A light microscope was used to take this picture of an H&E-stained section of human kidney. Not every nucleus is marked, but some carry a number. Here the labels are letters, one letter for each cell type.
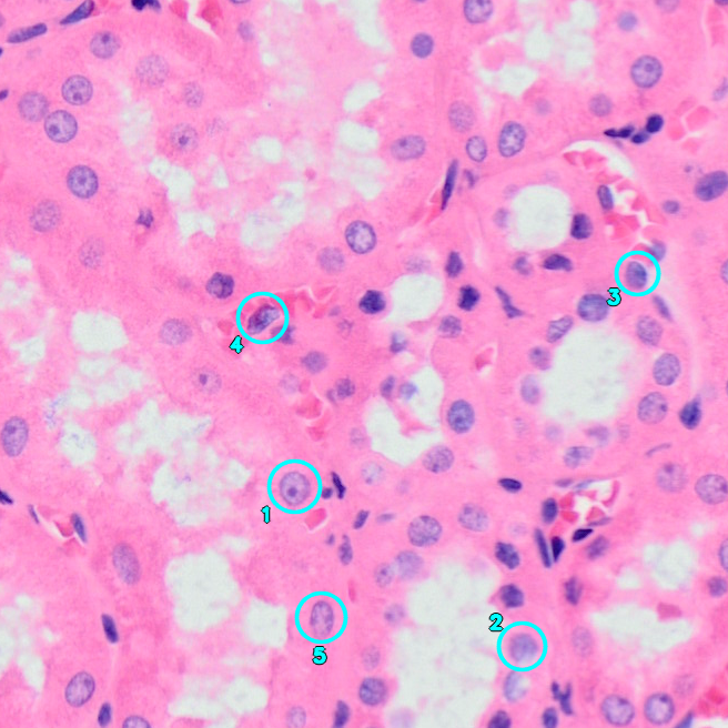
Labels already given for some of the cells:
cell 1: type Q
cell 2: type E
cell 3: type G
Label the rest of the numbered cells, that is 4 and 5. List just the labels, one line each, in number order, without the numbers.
type G
type Q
